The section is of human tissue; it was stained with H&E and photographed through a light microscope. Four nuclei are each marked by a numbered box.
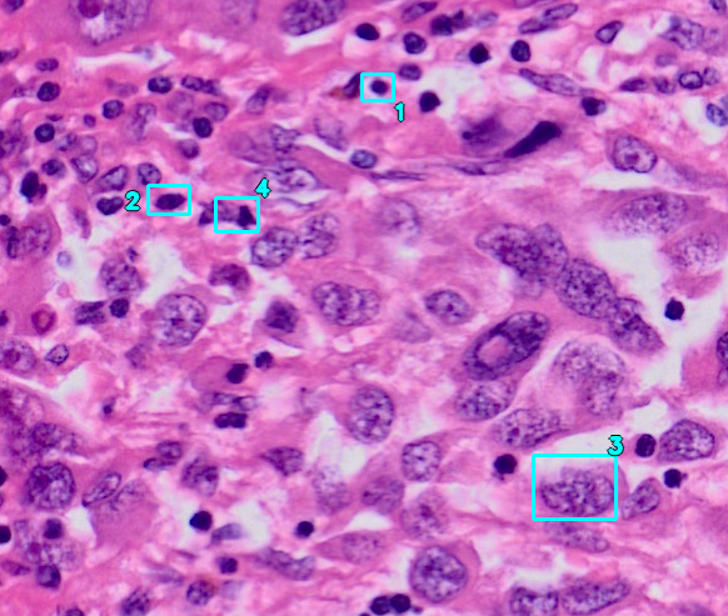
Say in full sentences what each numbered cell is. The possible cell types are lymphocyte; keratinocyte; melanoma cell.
Cell 1 is a lymphocyte, cell 2 is a lymphocyte, cell 3 is a melanoma cell and cell 4 is a lymphocyte.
